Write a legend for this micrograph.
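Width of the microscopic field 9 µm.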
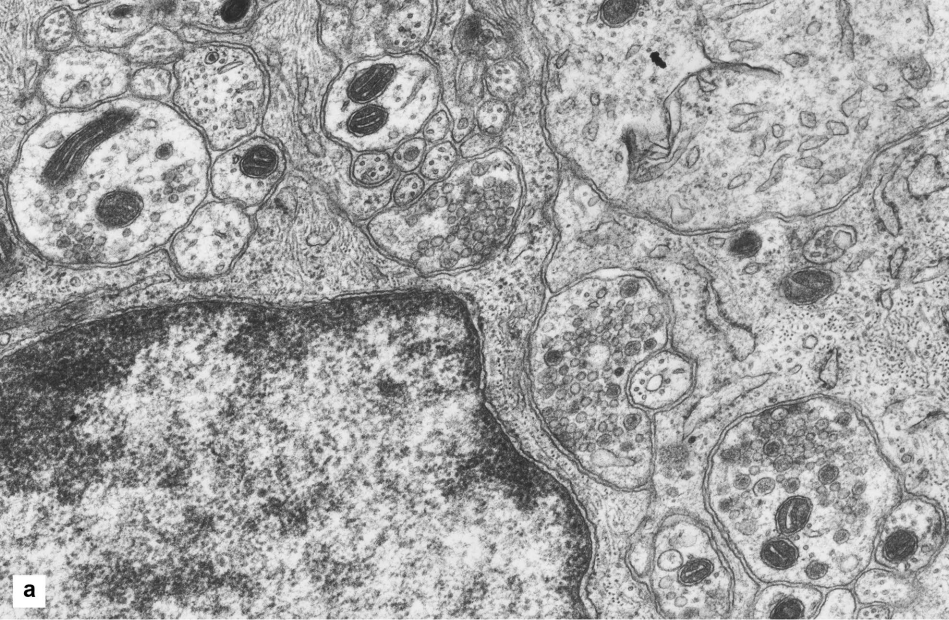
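This is nervous tissue in which a glial cell body, with its large nucleus in the lower left, is surrounded by many axon profiles and nerve endings. The nucleus shows coarse clumps of dark chromatin, and a narrow band of pale cytoplasm runs from around it upward between neighbouring profiles. The nerve endings are rounded profiles bounded by membranes and filled with numerous small round vesicles, several also holding dark mitochondria with visible cristae. These vesicle-filled endings lie directly against the glial cytoplasm, with no distinct thickening on the glial side.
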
